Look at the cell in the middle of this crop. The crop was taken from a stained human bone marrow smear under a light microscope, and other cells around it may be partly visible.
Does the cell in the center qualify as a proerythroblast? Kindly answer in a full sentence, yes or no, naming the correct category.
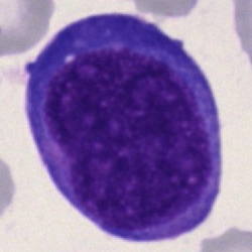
Yes, at the centre of the crop lies a proerythroblast.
